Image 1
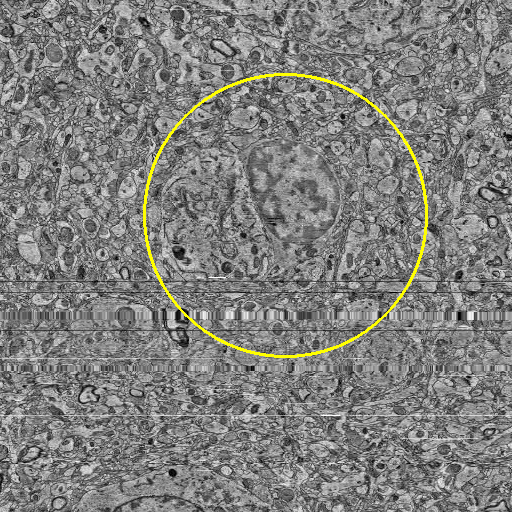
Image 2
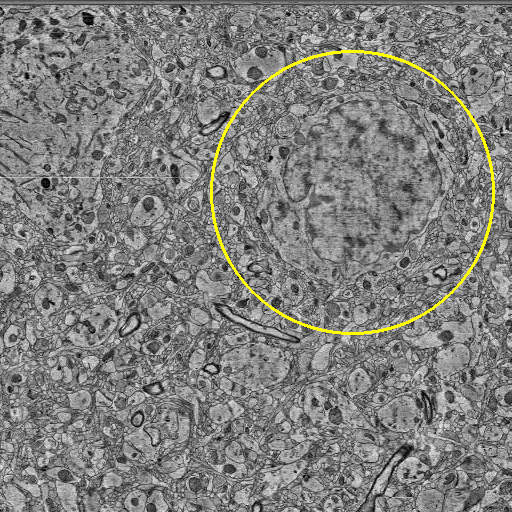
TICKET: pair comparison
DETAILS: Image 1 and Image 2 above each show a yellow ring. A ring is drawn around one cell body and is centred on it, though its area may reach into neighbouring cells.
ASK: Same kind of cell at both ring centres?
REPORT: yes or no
no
